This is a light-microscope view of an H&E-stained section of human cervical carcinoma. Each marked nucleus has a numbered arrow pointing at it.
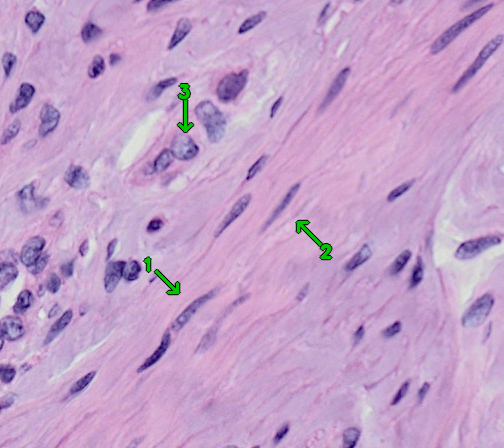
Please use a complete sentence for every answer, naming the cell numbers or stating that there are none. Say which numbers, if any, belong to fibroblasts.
In this section, the cells numbered 1 and 2 are fibroblasts.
